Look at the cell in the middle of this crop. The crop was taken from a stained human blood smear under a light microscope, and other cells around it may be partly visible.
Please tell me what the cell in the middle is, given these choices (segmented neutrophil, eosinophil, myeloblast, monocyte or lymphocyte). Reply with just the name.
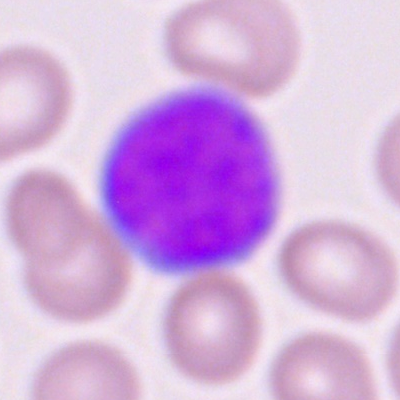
myeloblast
